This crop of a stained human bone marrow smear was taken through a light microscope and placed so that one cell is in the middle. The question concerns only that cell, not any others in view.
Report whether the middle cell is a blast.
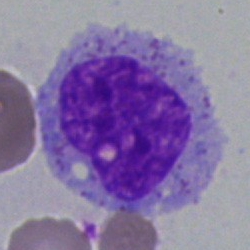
no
